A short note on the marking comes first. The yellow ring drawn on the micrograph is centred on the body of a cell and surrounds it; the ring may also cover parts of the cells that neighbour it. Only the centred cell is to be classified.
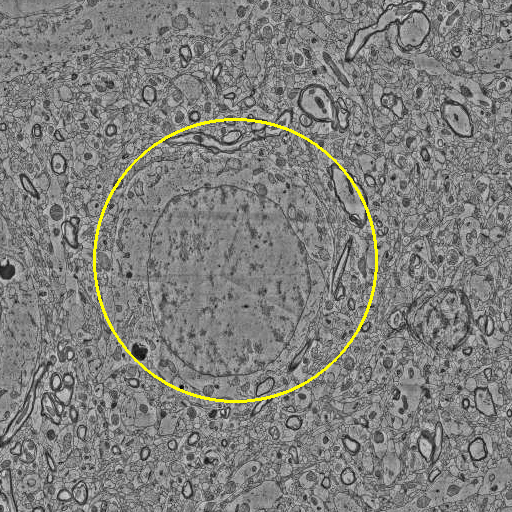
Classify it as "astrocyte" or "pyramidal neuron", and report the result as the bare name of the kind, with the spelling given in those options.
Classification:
pyramidal neuron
